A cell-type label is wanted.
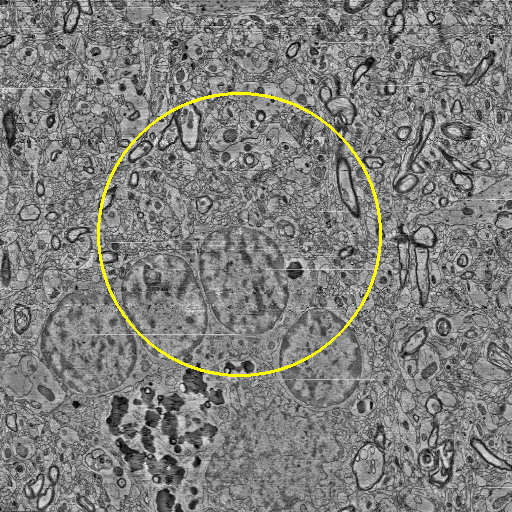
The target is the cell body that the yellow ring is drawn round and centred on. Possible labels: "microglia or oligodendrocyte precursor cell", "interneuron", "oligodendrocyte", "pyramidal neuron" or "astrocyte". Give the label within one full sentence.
Of the labels offered, the cell in the middle of the yellow ring is an oligodendrocyte.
